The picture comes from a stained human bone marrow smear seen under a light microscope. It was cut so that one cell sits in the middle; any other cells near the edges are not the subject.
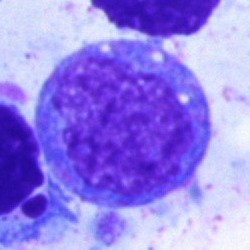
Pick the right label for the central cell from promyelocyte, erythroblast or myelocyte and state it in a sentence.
In the crop, the cell of interest at the centre is a promyelocyte.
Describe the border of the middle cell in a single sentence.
A smooth, projection-free outline is what this cell has.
